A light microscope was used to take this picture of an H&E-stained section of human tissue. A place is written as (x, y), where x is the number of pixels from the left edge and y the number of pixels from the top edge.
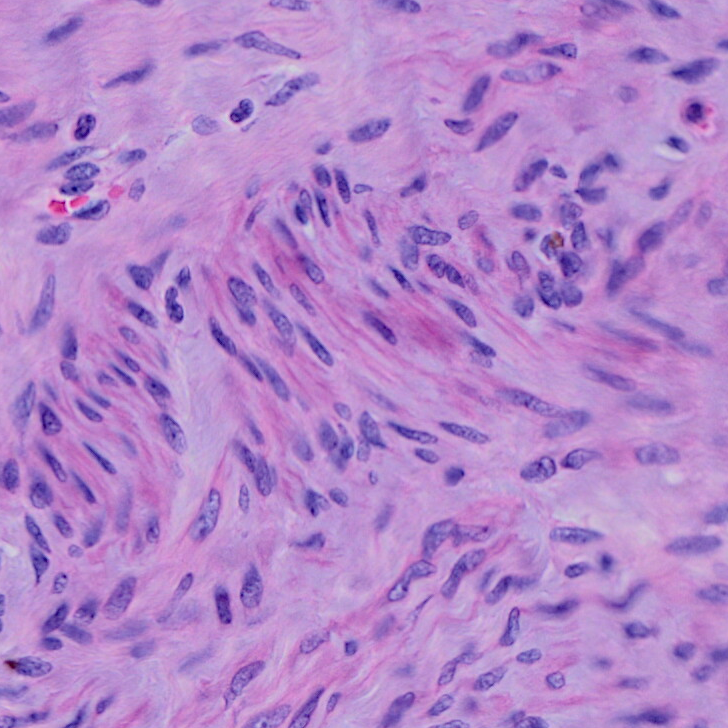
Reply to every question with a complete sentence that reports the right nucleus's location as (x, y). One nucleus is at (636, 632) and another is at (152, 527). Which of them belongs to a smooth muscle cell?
It is at (152, 527) that the nucleus of a smooth muscle cell is found.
